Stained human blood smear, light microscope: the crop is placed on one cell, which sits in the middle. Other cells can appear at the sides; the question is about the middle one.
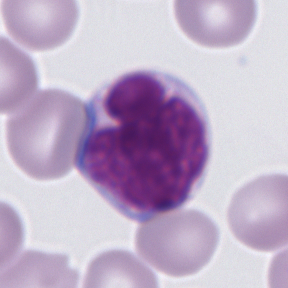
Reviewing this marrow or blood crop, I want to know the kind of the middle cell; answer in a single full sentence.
Classified as a large granular lymphocyte is the cell in the middle of this crop.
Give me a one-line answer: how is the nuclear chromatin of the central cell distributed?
The chromatin is delicate and fine, lacking coarse clumping entirely.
